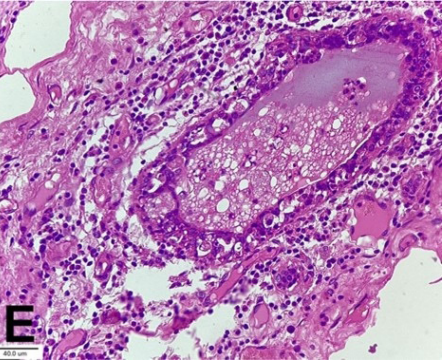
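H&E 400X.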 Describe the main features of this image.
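Cystic space lined by multilayered epithelium with crowded, stacked, darkly staining nuclei. The lumen contains pale pink to lilac material that is finely vacuolated and foamy, with a few scattered cells within it. Around the cyst lies loose stroma containing numerous small round cells with dark round nuclei and scattered larger pink cells. The lining cells vary somewhat in nuclear size and shape.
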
